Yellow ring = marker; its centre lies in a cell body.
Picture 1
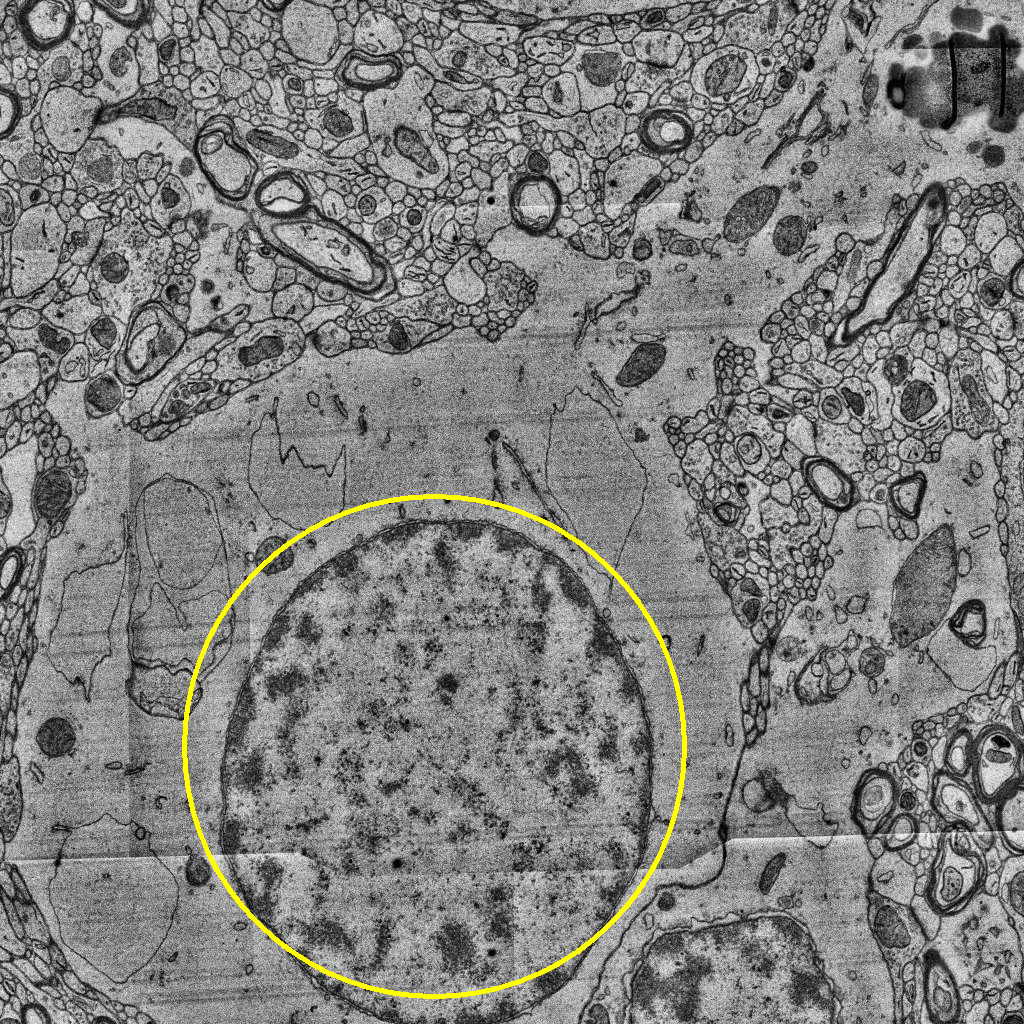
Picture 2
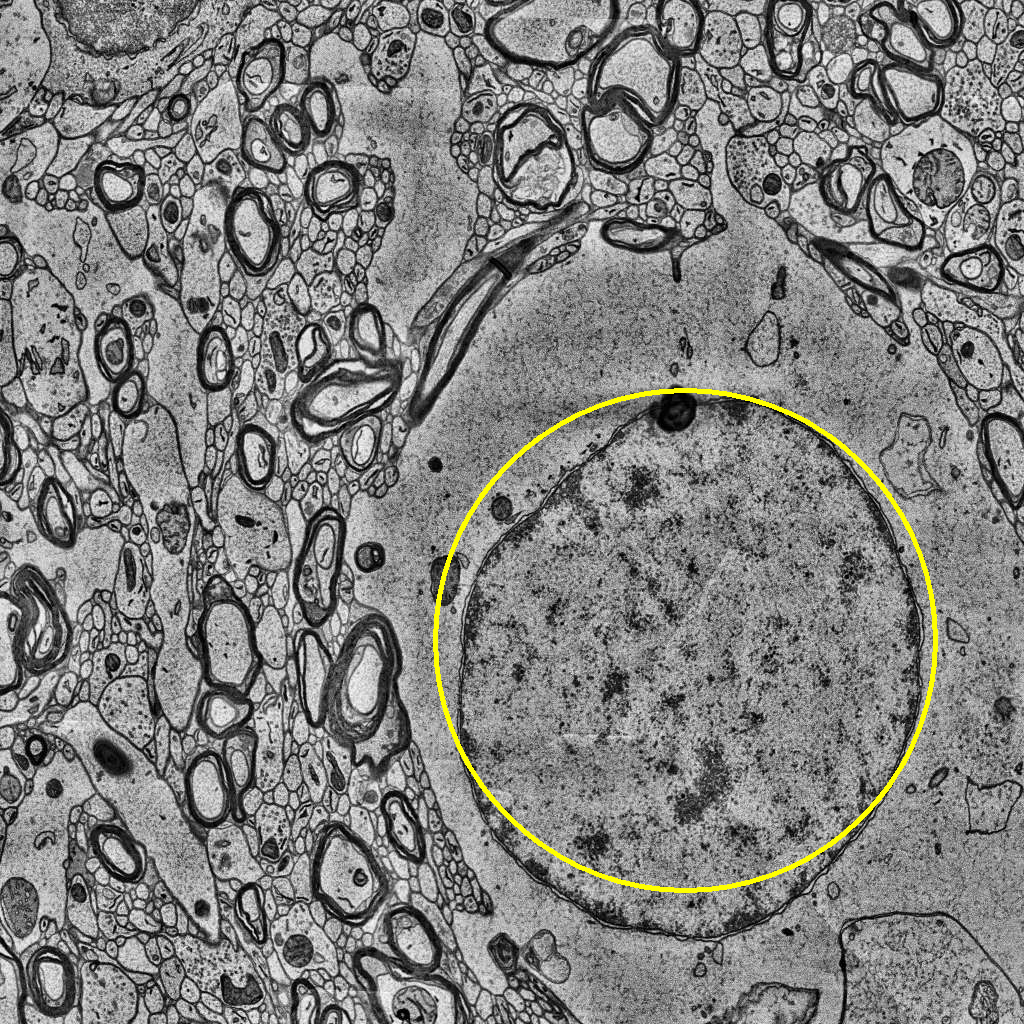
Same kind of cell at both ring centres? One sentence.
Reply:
Yes, they are the same kind of cell.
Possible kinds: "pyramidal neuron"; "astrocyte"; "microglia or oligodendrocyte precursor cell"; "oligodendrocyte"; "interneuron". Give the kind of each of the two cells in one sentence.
Each of the two pictures has an astrocyte at the ring centre.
